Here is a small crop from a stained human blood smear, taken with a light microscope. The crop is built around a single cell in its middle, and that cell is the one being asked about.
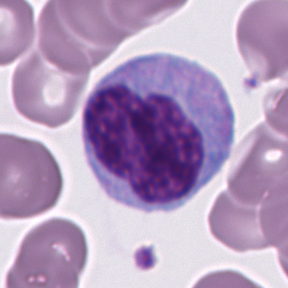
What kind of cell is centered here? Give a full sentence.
This crop is built around a monocyte at its centre.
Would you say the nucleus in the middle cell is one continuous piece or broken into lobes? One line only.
See how the nucleus sits as one compact round, oval or kidney-shaped mass.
